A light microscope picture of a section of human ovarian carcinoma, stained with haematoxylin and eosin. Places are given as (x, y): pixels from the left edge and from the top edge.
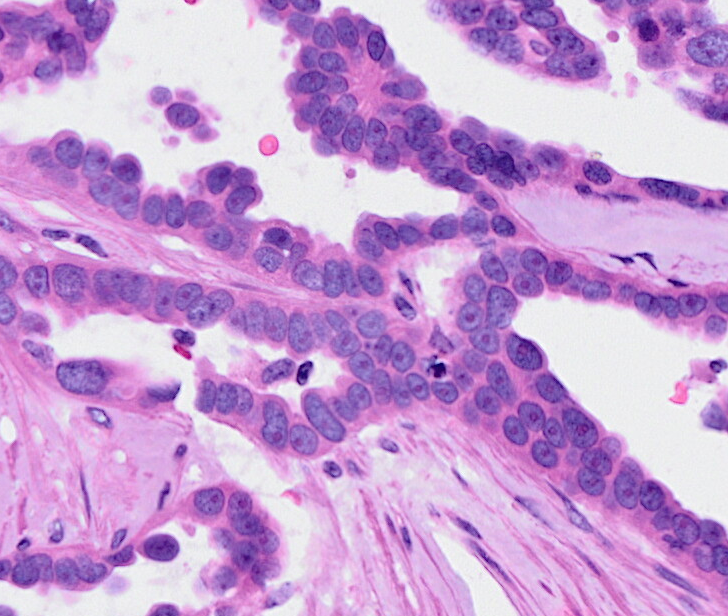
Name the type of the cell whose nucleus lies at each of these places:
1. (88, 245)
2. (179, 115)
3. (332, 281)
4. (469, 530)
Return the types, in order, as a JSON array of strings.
["fibroblast", "carcinoma cell", "carcinoma cell", "fibroblast"]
